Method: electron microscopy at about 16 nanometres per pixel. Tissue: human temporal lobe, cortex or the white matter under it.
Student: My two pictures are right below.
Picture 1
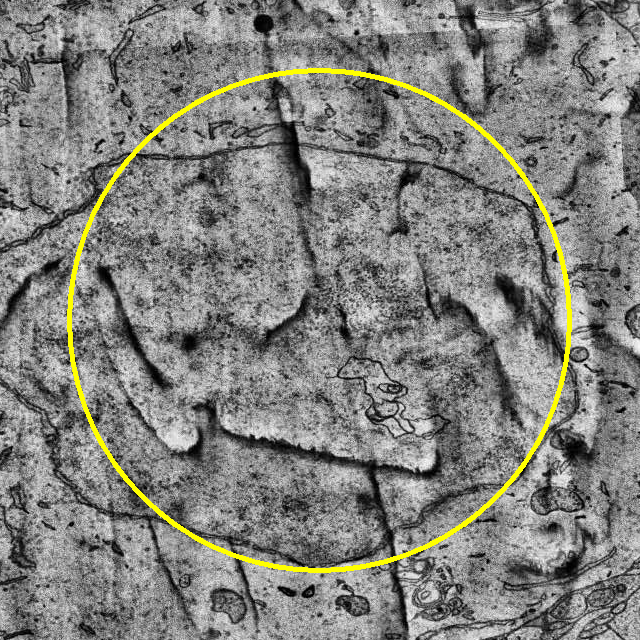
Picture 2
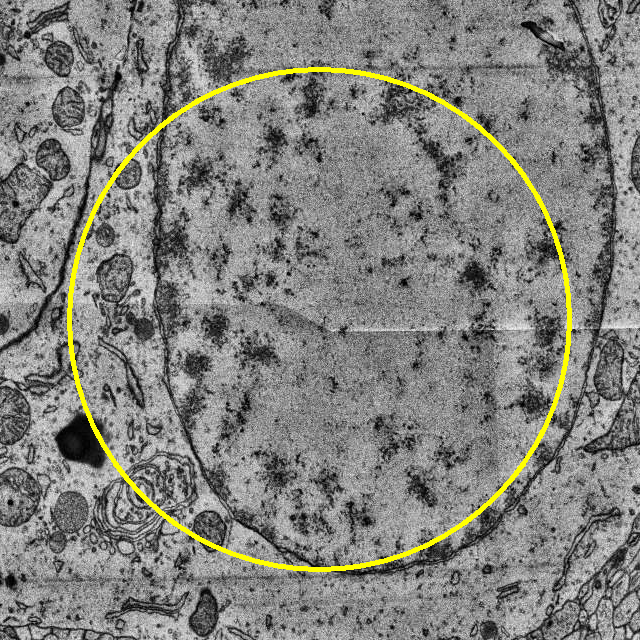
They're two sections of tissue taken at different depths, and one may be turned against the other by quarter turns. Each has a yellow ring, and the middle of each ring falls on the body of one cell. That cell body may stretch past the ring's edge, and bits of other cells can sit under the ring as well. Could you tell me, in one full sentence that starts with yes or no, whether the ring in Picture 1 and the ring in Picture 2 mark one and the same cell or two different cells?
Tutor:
No, these yellow rings each mark a separate cell.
